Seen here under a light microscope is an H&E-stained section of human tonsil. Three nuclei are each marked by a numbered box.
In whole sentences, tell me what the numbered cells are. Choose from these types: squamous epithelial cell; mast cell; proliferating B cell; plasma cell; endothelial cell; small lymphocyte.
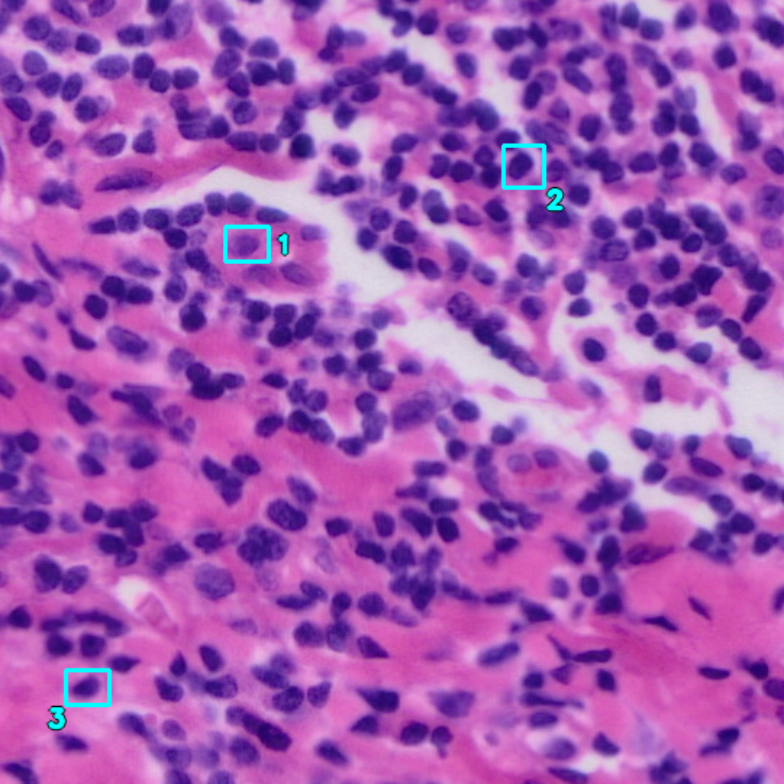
Cell 1 is an endothelial cell, cell 2 is a small lymphocyte and cell 3 is a mast cell.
